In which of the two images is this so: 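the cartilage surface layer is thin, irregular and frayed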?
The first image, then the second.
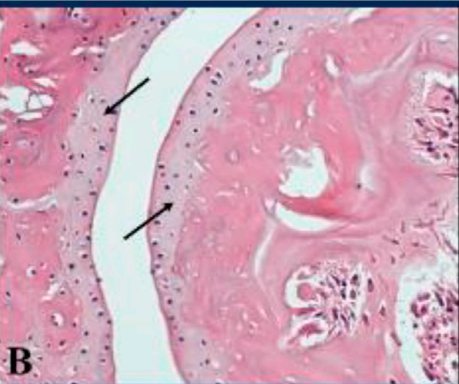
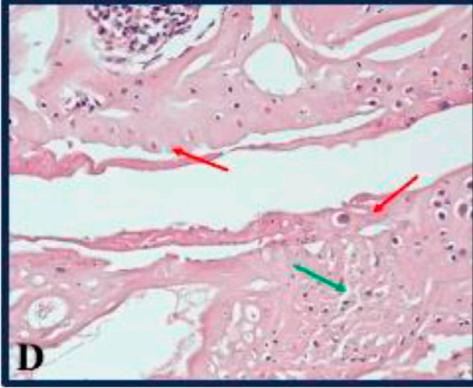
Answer: The second image.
